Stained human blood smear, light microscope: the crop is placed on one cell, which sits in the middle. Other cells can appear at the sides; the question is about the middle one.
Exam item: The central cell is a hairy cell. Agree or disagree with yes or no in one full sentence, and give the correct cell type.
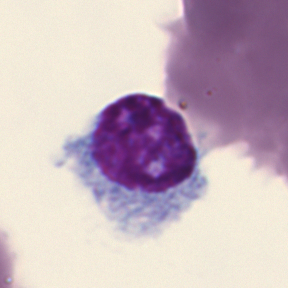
Yes, this is a hairy cell, the cell in the middle of the crop.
